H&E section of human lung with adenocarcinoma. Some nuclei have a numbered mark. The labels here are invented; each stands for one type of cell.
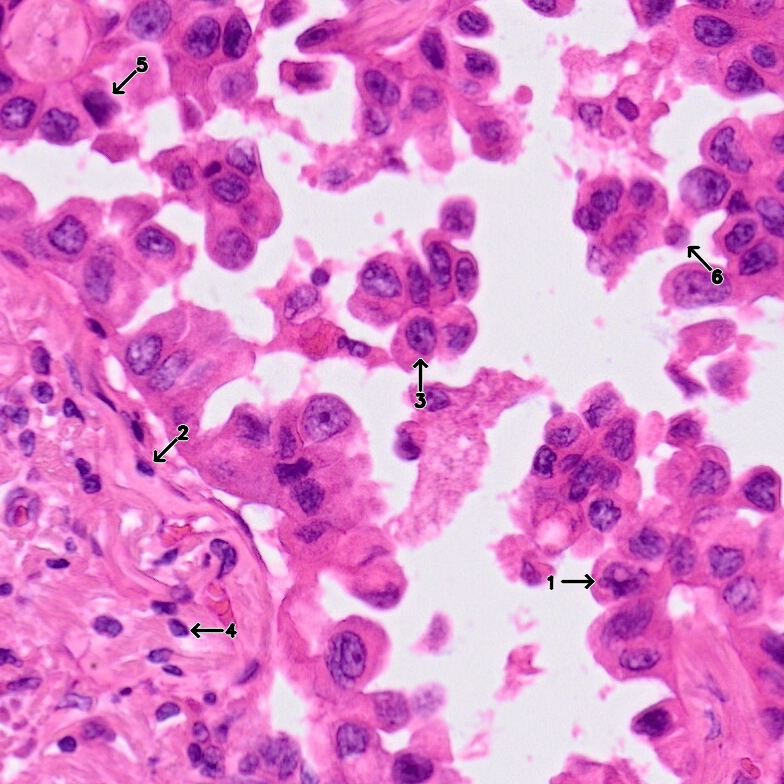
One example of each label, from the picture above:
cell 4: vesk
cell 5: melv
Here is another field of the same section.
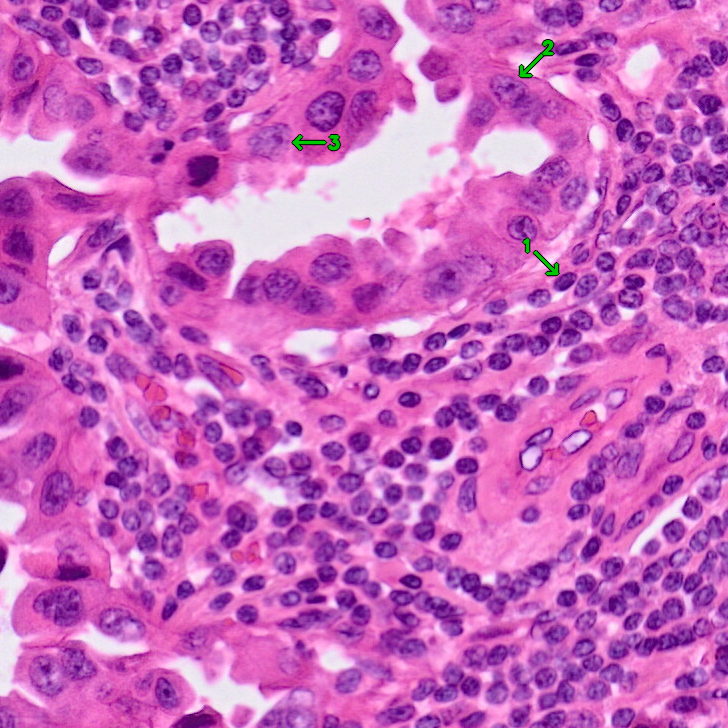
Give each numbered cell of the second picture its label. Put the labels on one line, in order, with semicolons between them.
vesk; melv; melv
